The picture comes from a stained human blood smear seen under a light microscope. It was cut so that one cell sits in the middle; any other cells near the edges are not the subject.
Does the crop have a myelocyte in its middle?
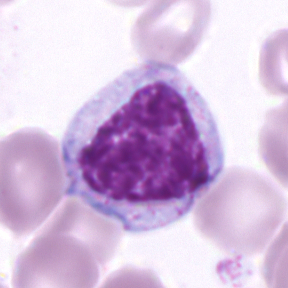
yes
